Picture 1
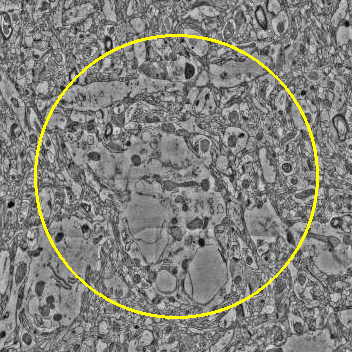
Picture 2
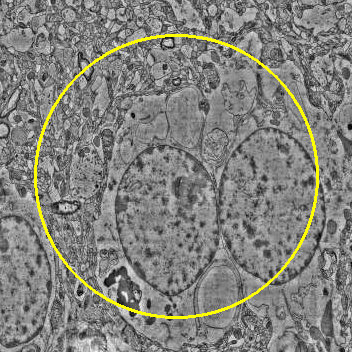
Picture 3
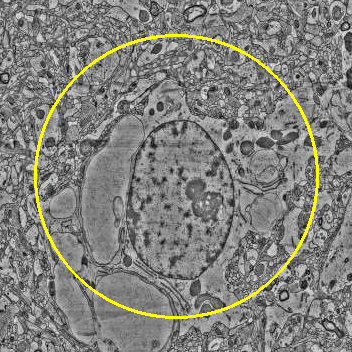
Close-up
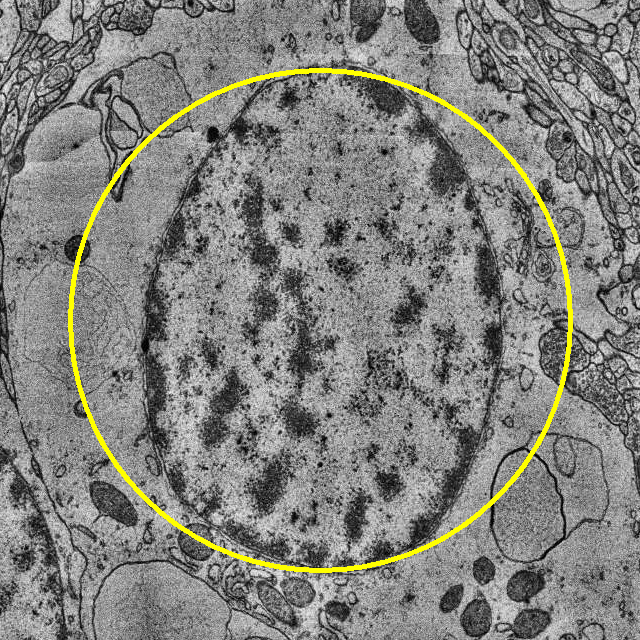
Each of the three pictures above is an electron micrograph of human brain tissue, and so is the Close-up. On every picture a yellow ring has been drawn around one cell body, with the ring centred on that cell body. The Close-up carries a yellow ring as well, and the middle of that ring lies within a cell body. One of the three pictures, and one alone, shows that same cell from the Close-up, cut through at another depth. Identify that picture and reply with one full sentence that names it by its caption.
The close-up shows a cell, and that cell is ringed in Picture 1.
